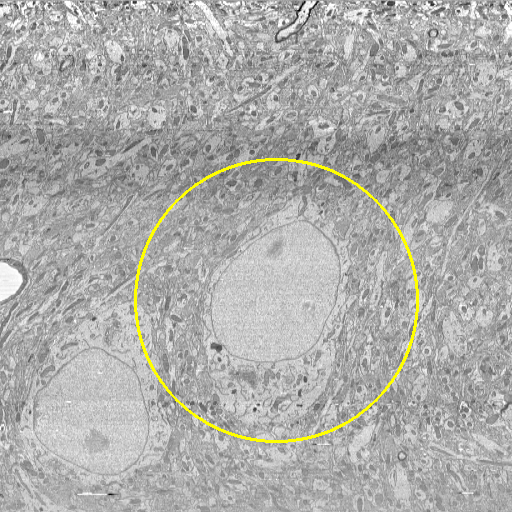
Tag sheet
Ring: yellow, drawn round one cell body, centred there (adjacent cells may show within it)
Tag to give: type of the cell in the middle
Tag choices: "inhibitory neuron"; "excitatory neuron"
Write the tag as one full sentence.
I tag the cell centred in the yellow ring as an excitatory neuron in this picture.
